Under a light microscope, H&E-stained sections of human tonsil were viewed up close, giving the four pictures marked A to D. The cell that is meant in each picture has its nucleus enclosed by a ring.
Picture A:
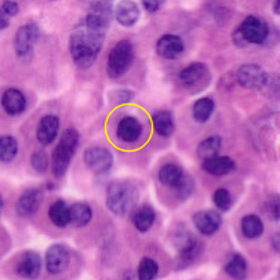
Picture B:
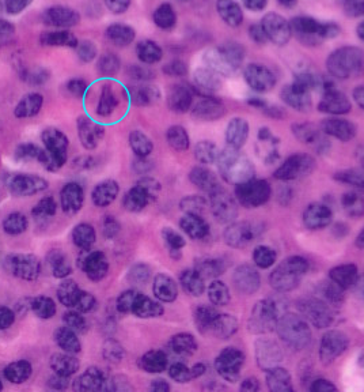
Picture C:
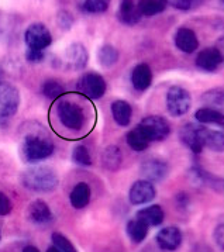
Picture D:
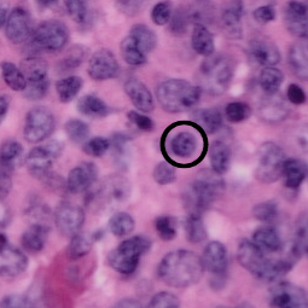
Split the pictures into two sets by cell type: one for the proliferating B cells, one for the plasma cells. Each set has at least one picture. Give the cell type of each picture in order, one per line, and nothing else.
plasma cell
plasma cell
plasma cell
proliferating B cell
